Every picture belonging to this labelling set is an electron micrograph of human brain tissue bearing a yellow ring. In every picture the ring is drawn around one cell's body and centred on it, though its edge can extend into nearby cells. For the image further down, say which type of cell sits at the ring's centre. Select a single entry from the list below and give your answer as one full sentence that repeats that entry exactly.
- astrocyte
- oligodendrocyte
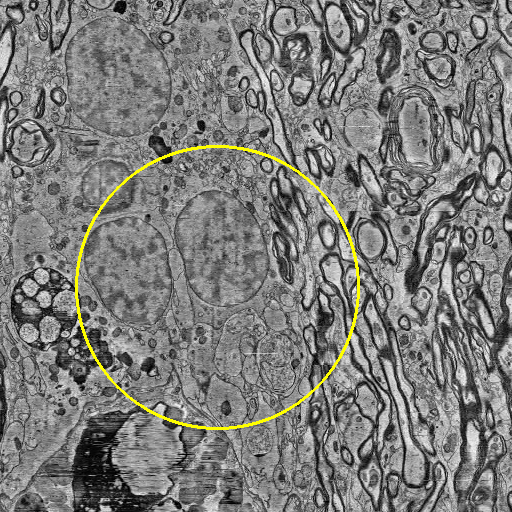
In the picture, an oligodendrocyte is the cell at the centre of the yellow ring.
